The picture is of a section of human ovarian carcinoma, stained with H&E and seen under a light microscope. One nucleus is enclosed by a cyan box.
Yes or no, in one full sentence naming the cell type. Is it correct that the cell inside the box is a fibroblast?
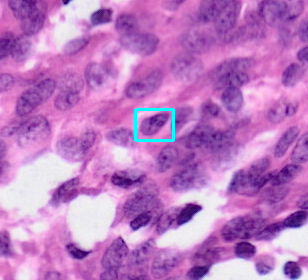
No, a macrophage or monocyte is what the cell inside the box is, not a fibroblast.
